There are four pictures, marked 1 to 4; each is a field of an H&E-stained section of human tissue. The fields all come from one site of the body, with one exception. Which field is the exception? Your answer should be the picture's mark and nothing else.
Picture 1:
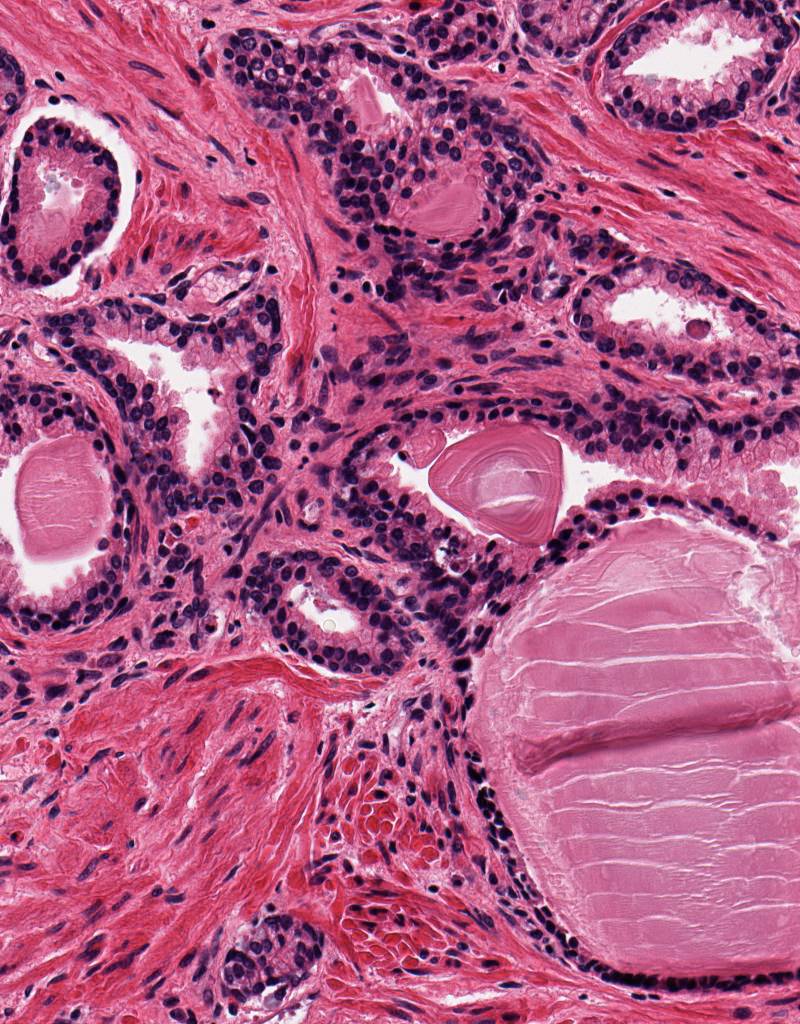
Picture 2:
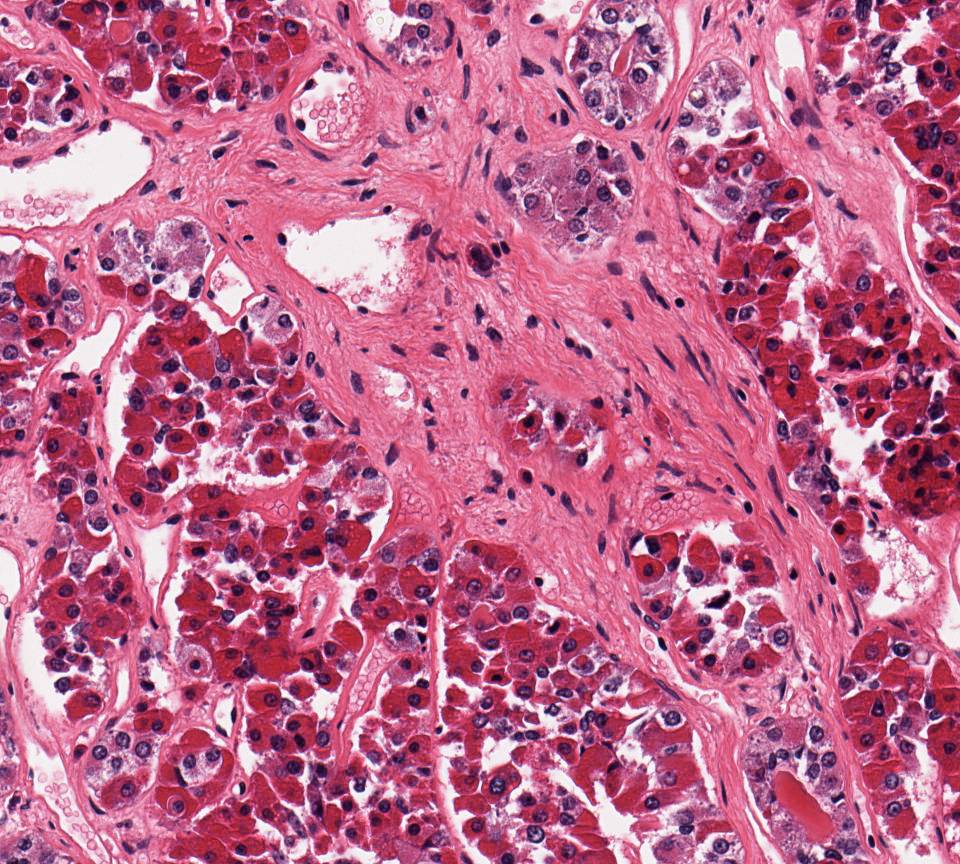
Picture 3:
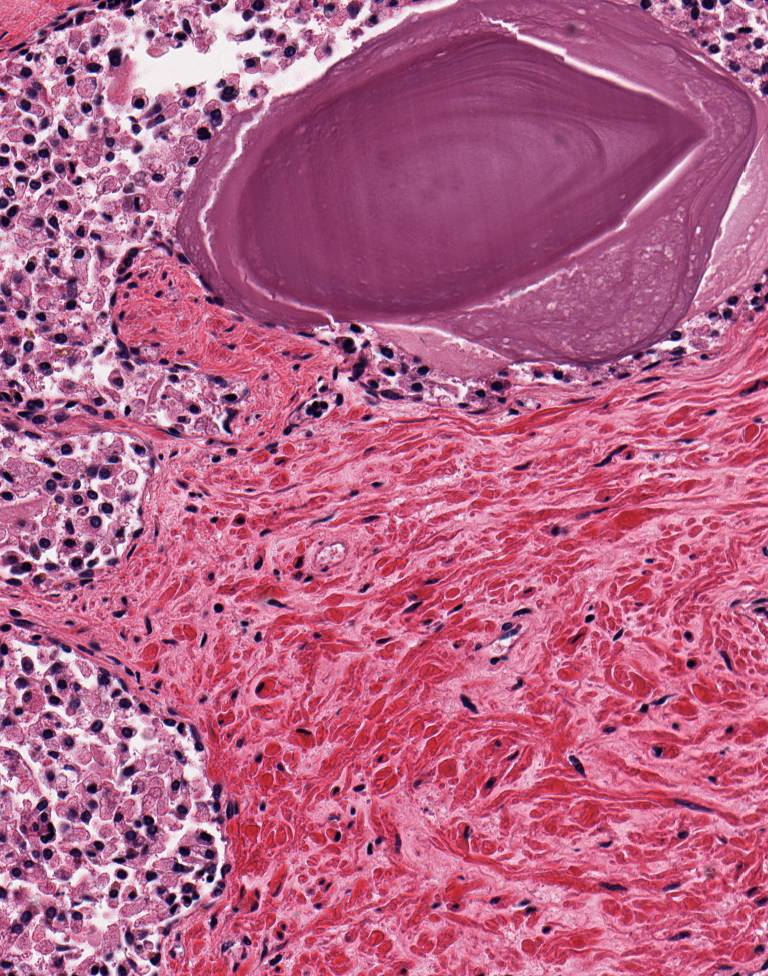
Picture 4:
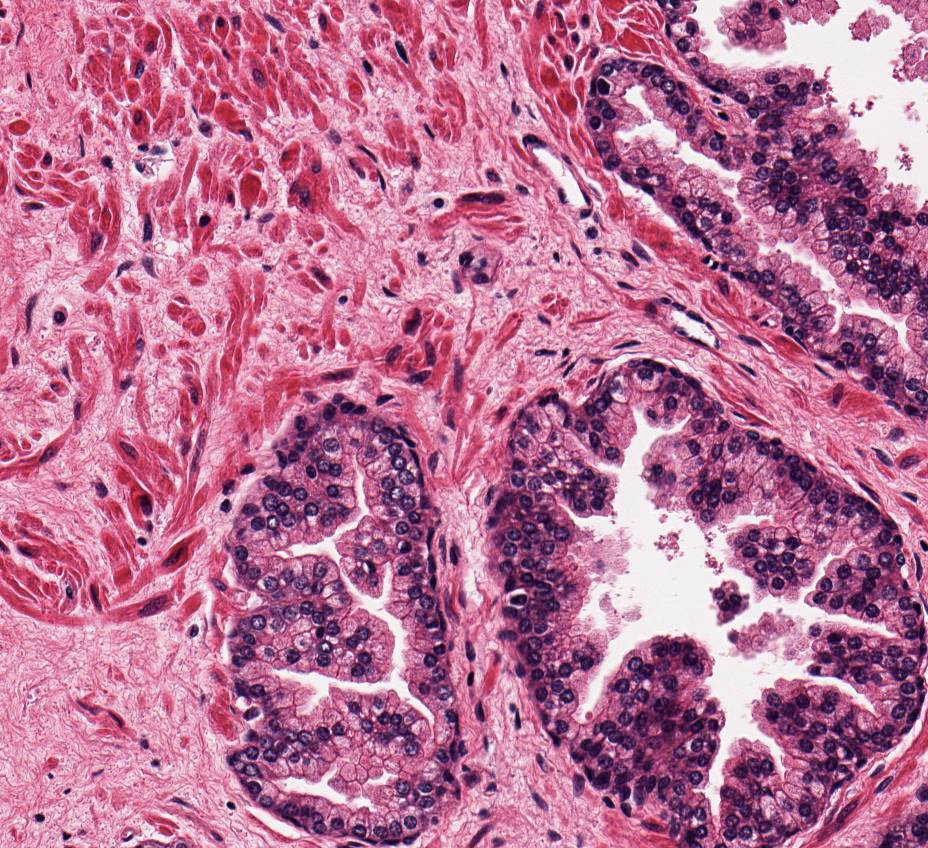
2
